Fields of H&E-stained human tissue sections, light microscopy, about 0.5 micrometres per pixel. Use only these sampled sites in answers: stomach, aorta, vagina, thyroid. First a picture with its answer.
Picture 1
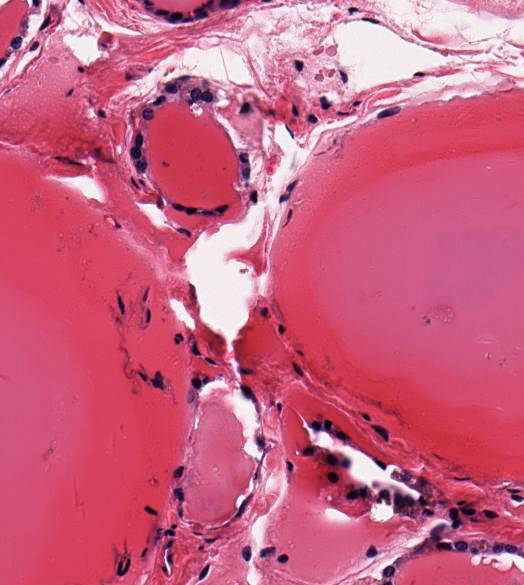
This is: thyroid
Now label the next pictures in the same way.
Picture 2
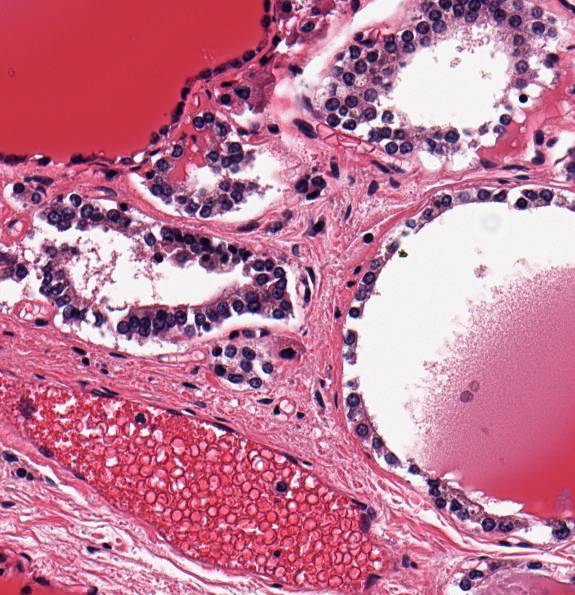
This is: thyroid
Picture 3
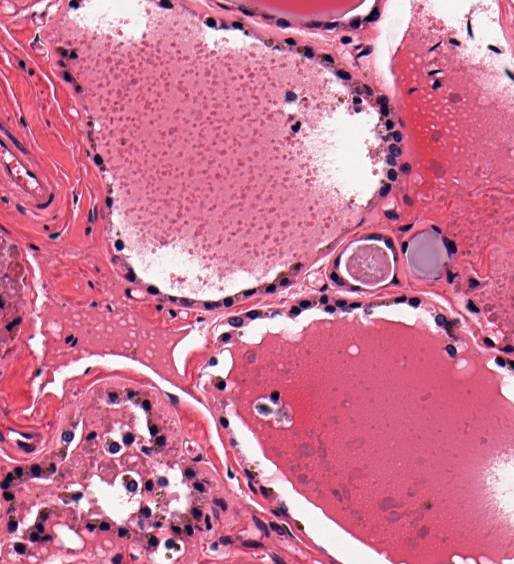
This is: thyroid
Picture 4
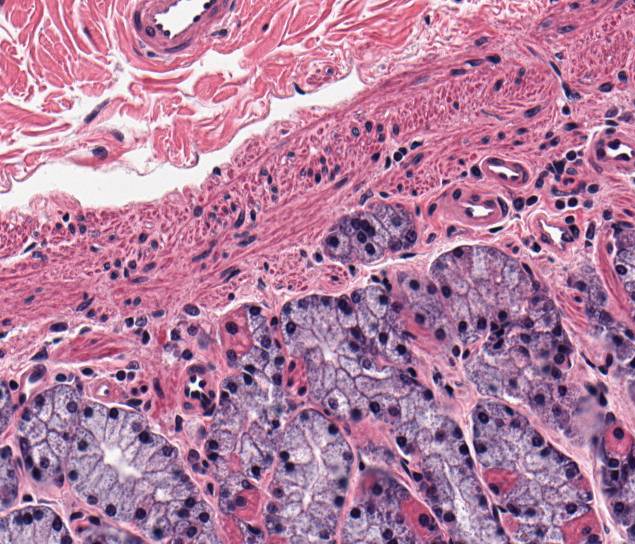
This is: stomach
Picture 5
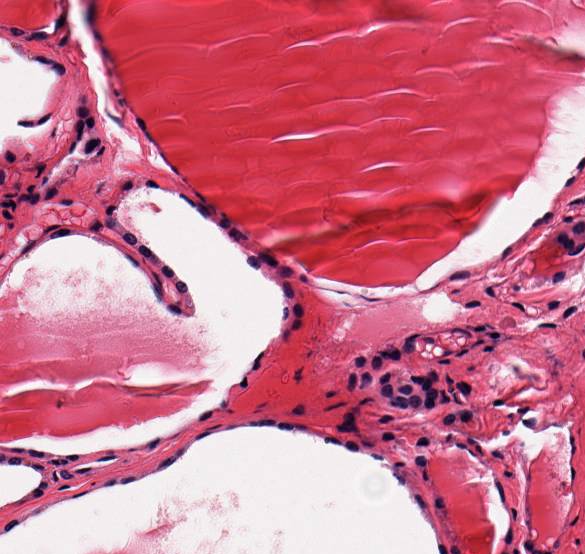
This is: thyroid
